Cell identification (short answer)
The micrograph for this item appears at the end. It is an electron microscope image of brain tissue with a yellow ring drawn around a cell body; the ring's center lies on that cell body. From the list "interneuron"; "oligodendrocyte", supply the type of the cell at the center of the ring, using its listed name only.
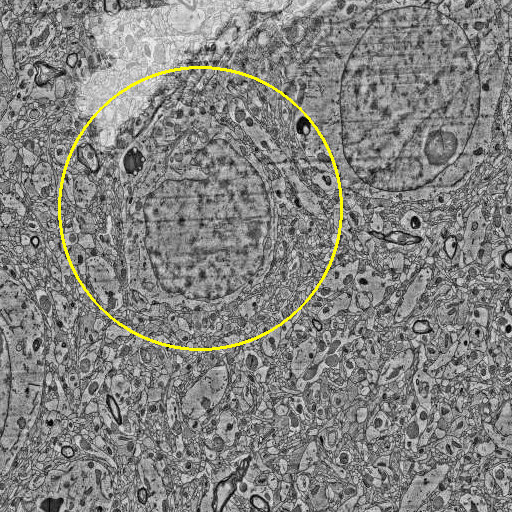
interneuron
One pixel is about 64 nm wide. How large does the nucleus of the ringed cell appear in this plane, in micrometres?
In this plane, roughly 9 micrometres across.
